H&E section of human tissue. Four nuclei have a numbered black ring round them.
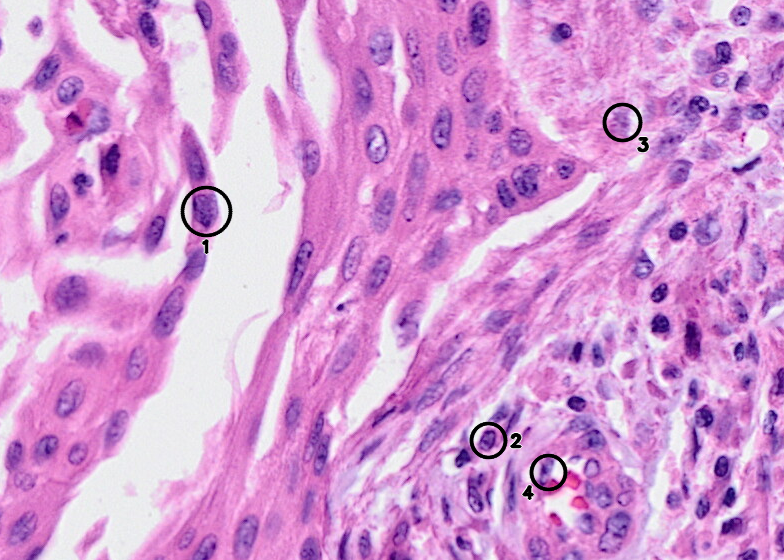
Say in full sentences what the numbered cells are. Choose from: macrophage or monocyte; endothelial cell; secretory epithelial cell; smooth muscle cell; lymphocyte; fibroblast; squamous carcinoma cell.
Cell 1 is a squamous carcinoma cell. Cell 2 is a lymphocyte. Cell 3 is a fibroblast. Cell 4 is an endothelial cell.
